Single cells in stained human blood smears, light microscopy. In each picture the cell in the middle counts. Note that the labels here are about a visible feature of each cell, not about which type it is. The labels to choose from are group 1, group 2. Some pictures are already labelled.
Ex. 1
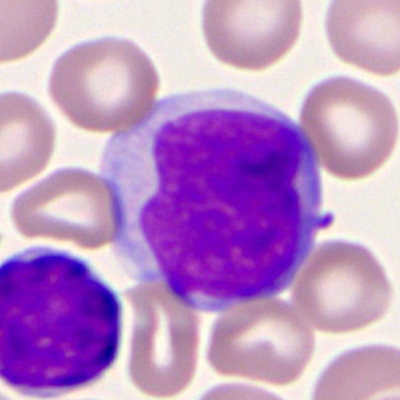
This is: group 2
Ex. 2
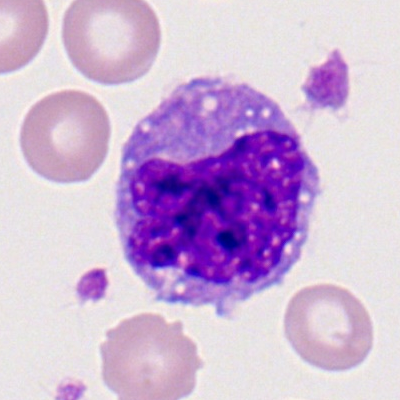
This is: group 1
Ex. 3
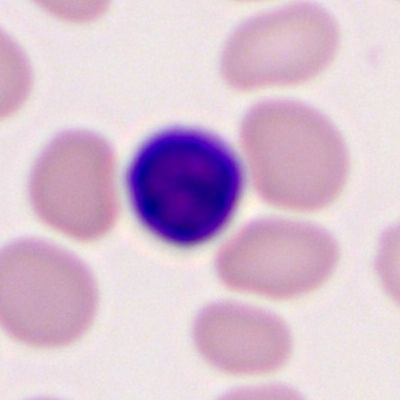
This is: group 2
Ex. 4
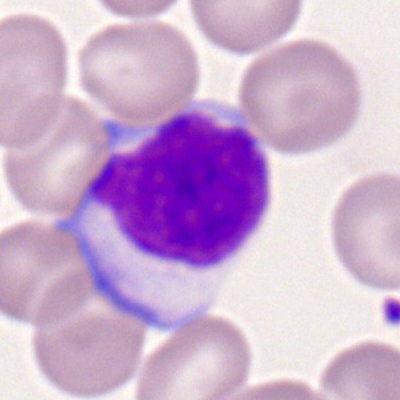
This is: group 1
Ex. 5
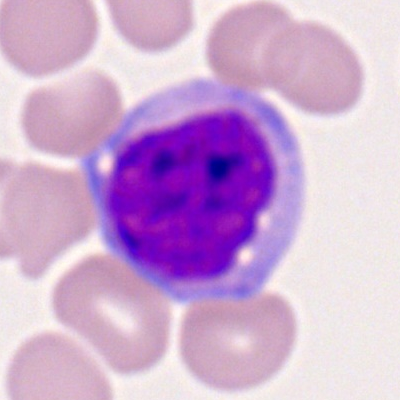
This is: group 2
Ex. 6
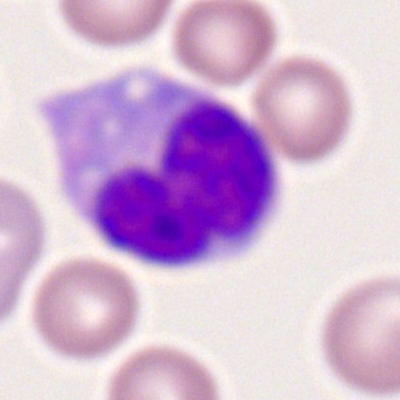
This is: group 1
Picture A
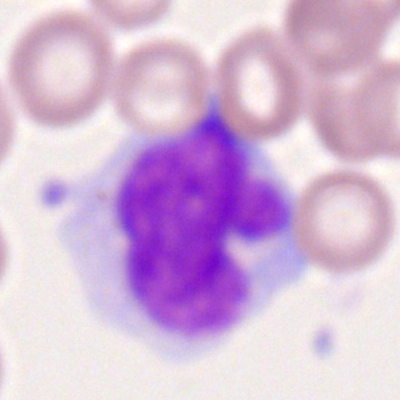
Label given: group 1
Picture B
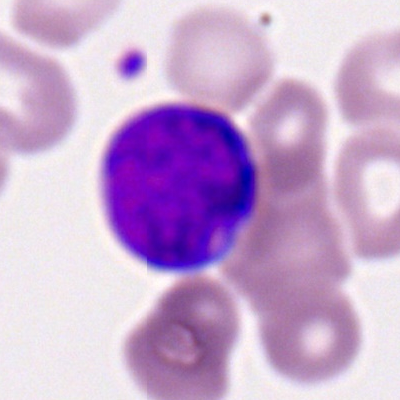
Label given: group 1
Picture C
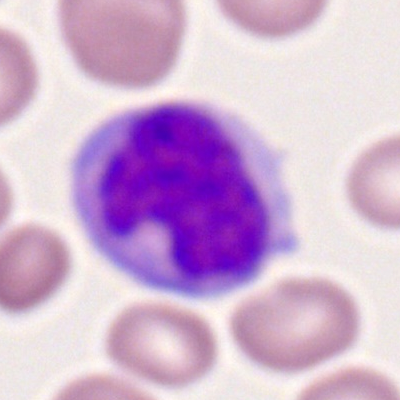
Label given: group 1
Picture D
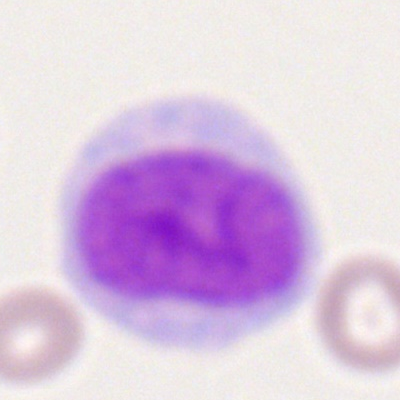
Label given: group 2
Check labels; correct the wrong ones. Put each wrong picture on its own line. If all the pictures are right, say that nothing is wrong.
Wrong: B (group 1); correct: group 2
Wrong: C (group 1); correct: group 2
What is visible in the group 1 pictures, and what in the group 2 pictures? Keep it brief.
Seen in group 1: abundant cytoplasm; seen in group 2: scant cytoplasm.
